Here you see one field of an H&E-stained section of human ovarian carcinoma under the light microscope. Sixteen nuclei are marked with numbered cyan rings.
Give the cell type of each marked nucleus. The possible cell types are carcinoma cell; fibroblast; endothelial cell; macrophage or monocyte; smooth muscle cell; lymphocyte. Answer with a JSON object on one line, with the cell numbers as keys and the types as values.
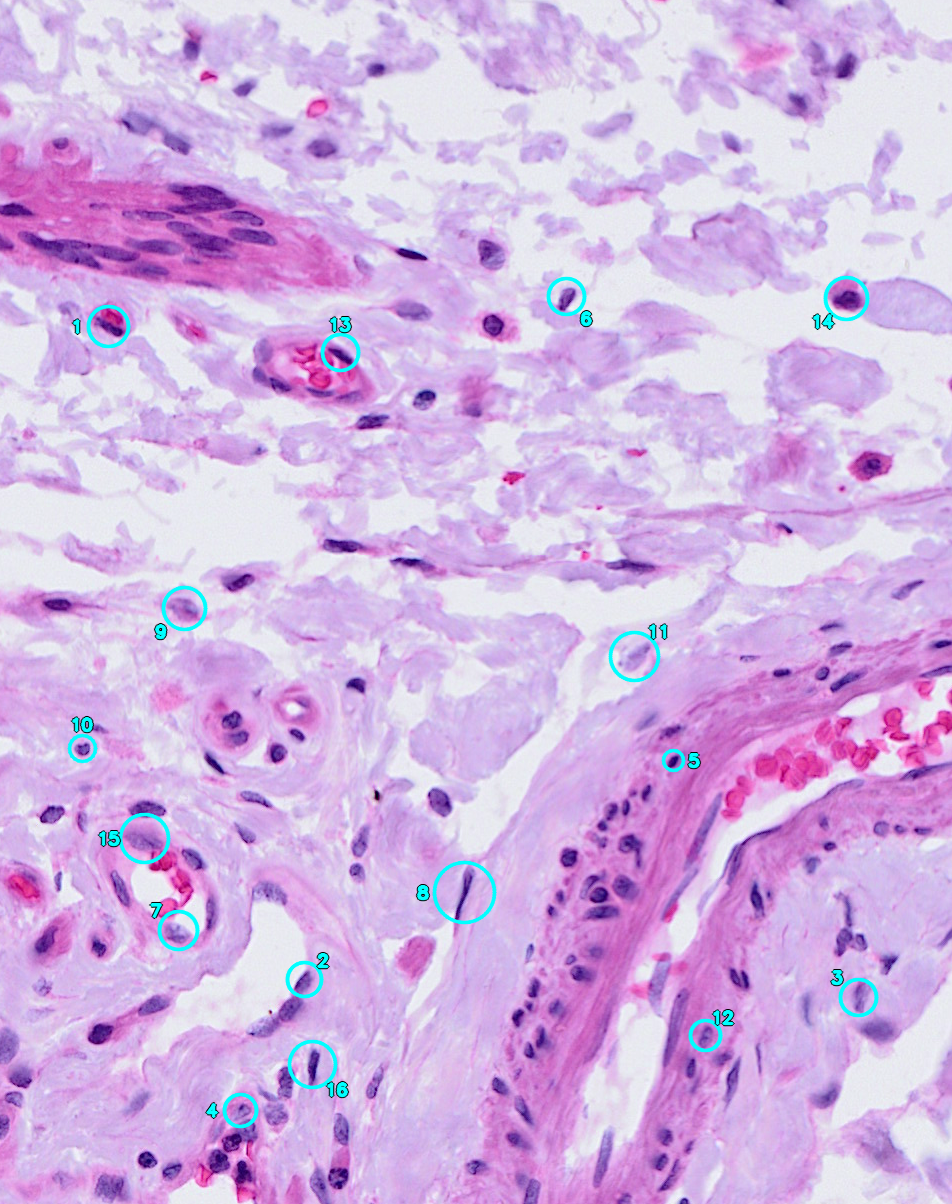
{"1": "endothelial cell", "2": "endothelial cell", "3": "fibroblast", "4": "endothelial cell", "5": "smooth muscle cell", "6": "fibroblast", "7": "endothelial cell", "8": "fibroblast", "9": "fibroblast", "10": "lymphocyte", "11": "fibroblast", "12": "smooth muscle cell", "13": "endothelial cell", "14": "macrophage or monocyte", "15": "endothelial cell", "16": "fibroblast"}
